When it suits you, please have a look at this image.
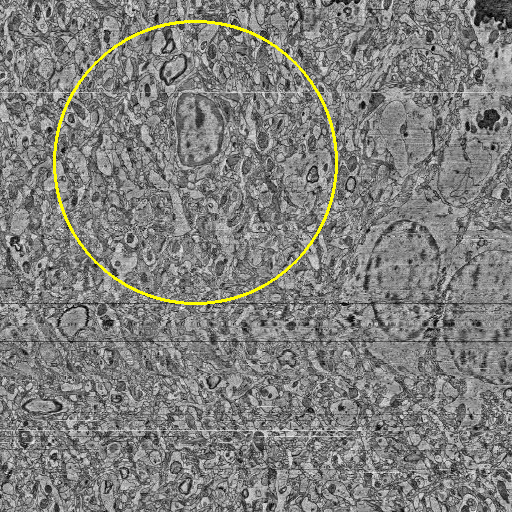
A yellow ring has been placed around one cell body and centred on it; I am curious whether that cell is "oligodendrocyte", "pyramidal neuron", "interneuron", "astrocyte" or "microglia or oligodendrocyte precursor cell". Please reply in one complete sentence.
The ringed cell, a microglial cell or oligodendrocyte precursor cell, has its body at the centre of the yellow ring.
